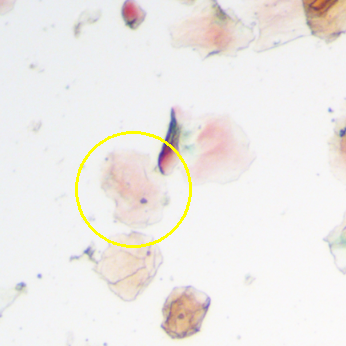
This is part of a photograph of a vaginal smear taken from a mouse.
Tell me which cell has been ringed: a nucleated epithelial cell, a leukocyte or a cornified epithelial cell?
It is a cornified epithelial cell.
